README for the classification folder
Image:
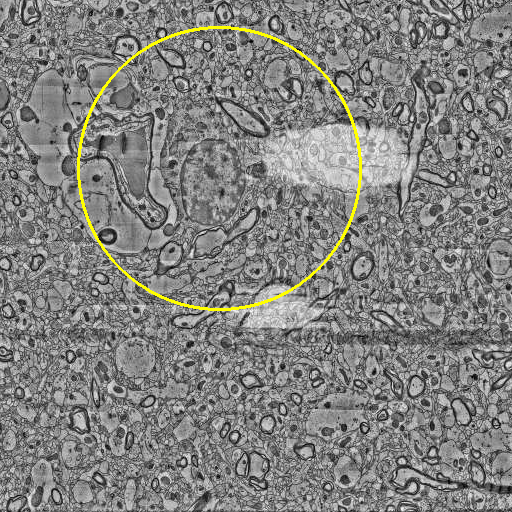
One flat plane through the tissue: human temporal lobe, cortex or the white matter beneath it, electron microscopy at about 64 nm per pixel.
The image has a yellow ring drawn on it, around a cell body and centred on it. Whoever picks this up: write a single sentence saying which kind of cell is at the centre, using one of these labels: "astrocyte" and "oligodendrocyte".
This cell body is that of an oligodendrocyte.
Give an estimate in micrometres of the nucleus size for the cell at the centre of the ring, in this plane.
The nucleus has a long axis of about 6 micrometres and a short axis of about 4 micrometres in this plane.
